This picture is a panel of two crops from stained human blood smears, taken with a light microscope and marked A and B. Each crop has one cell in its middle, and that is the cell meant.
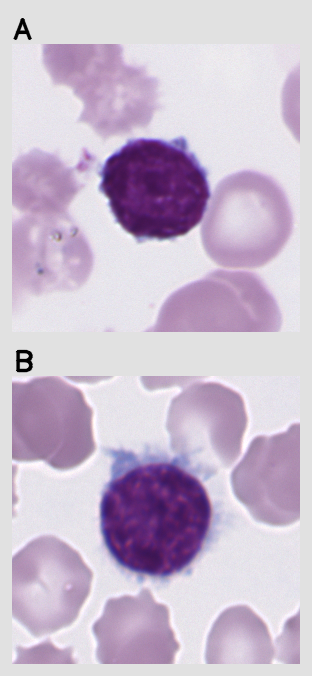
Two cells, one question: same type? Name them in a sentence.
No, whereas crop A shows a typical lymphocyte, crop B shows a hairy cell.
